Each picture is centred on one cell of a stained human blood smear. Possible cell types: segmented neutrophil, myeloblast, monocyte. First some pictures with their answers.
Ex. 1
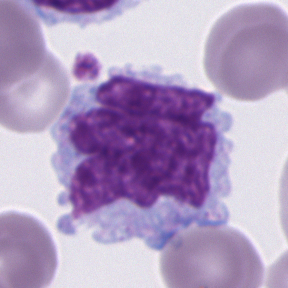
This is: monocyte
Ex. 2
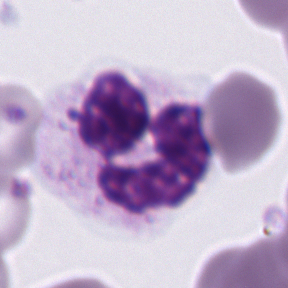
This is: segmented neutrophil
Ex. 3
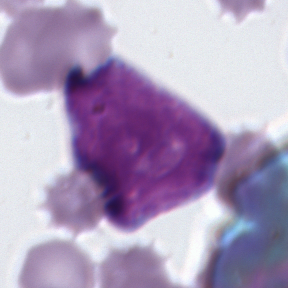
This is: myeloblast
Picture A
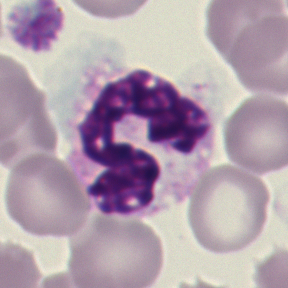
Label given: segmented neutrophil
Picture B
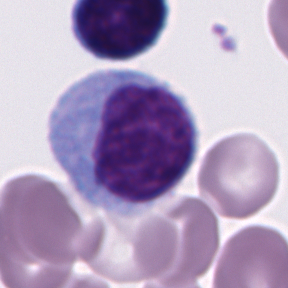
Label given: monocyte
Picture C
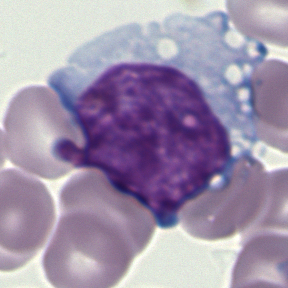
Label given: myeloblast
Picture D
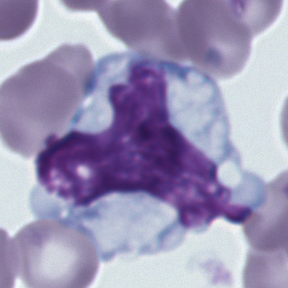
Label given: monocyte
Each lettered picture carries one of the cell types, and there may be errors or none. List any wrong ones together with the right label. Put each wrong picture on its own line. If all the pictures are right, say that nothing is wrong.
None of the labels needs changing.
